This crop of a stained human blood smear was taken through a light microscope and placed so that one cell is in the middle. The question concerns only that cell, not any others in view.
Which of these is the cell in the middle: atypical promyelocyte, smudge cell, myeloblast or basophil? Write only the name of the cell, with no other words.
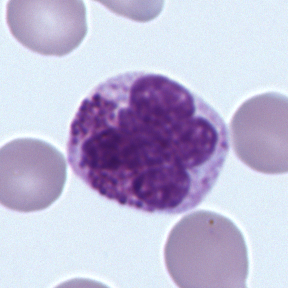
basophil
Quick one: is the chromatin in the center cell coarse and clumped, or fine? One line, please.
Its chromatin is clumped in a coarse pattern.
